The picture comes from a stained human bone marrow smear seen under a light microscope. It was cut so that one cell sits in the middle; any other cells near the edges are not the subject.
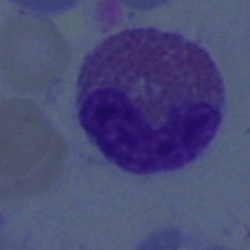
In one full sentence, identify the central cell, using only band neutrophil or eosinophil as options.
Answering briefly, the cell in the middle is an eosinophil.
